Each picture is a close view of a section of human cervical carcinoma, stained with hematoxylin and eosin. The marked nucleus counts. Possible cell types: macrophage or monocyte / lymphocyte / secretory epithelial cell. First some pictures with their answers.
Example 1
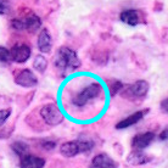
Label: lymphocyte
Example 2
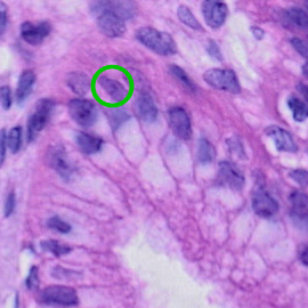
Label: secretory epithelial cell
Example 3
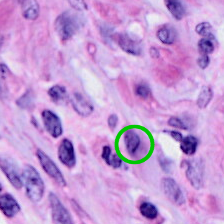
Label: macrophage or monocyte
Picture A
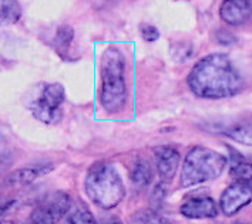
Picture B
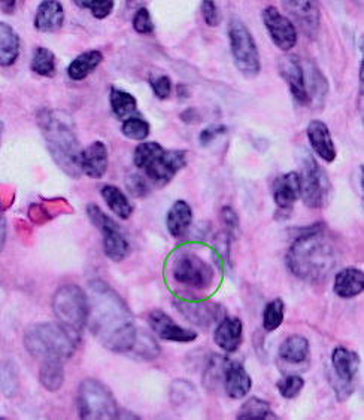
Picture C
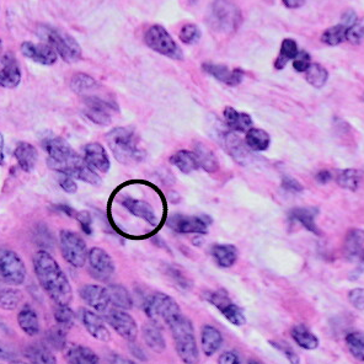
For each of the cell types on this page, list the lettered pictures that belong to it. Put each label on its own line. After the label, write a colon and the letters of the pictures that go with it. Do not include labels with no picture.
macrophage or monocyte: A, B
lymphocyte: C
